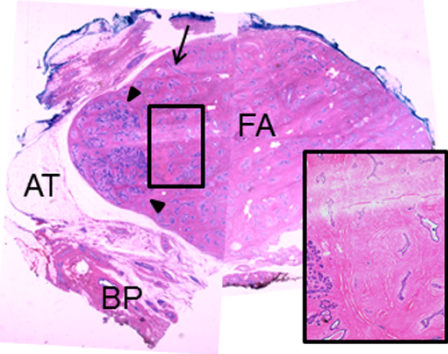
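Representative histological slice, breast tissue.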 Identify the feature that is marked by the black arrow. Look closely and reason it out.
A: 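The arrow points to a thin elongated pale line within the pink stroma near the upper edge of the mass. The answer: linear duct.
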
